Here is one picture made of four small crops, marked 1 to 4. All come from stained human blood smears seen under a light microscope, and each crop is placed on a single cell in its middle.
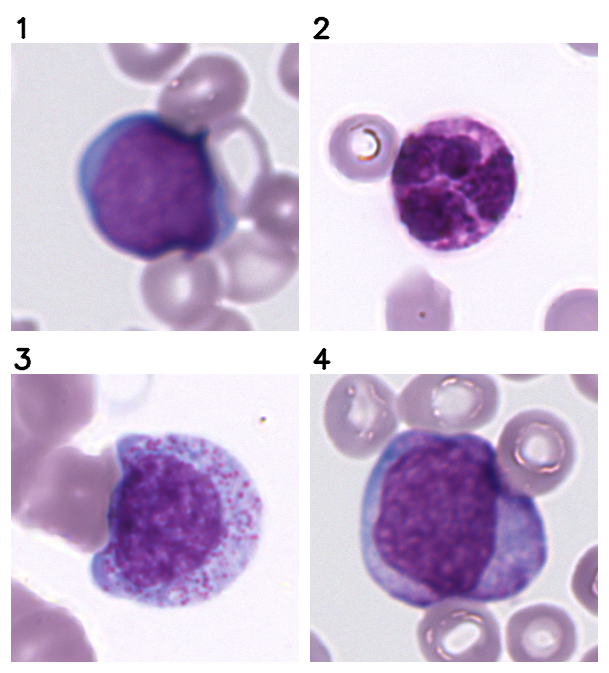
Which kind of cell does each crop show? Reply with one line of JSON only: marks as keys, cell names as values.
{"1": "myeloblast", "2": "basophil", "3": "promyelocyte", "4": "atypical promyelocyte"}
